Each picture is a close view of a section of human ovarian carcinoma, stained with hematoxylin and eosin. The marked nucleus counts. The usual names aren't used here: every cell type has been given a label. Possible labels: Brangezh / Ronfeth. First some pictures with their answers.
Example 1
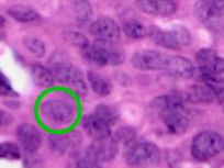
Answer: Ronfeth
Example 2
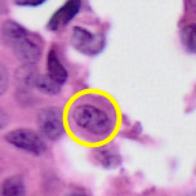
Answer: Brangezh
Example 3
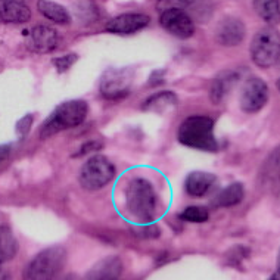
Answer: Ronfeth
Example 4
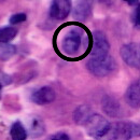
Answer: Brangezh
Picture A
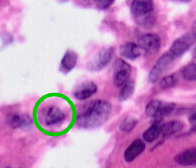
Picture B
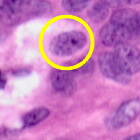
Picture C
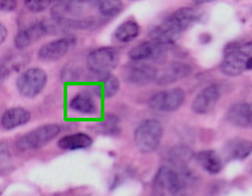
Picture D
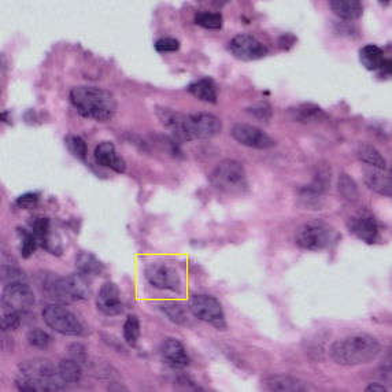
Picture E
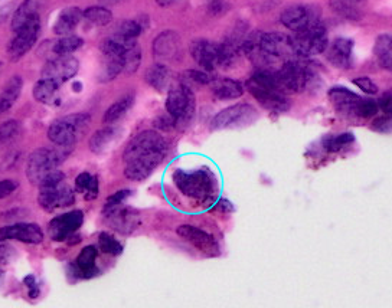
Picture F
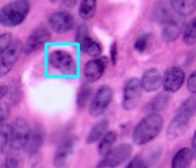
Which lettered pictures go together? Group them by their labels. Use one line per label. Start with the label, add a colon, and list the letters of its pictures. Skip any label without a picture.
Brangezh: A, B, D, F
Ronfeth: C, E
